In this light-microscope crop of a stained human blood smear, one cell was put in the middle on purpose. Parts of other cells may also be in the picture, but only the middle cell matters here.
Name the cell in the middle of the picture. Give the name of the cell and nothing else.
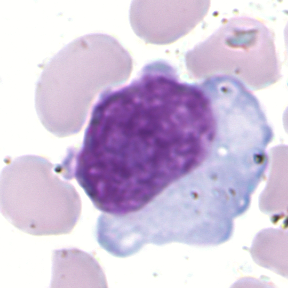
plasma cell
